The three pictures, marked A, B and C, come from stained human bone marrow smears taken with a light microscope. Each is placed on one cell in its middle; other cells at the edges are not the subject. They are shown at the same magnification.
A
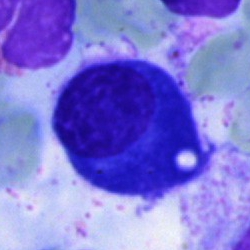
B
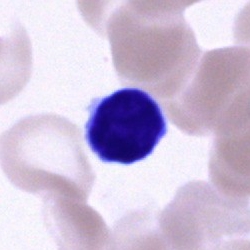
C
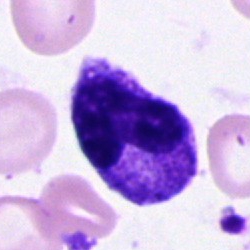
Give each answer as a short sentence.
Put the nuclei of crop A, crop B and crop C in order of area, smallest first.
Going up, they run B, C, A.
